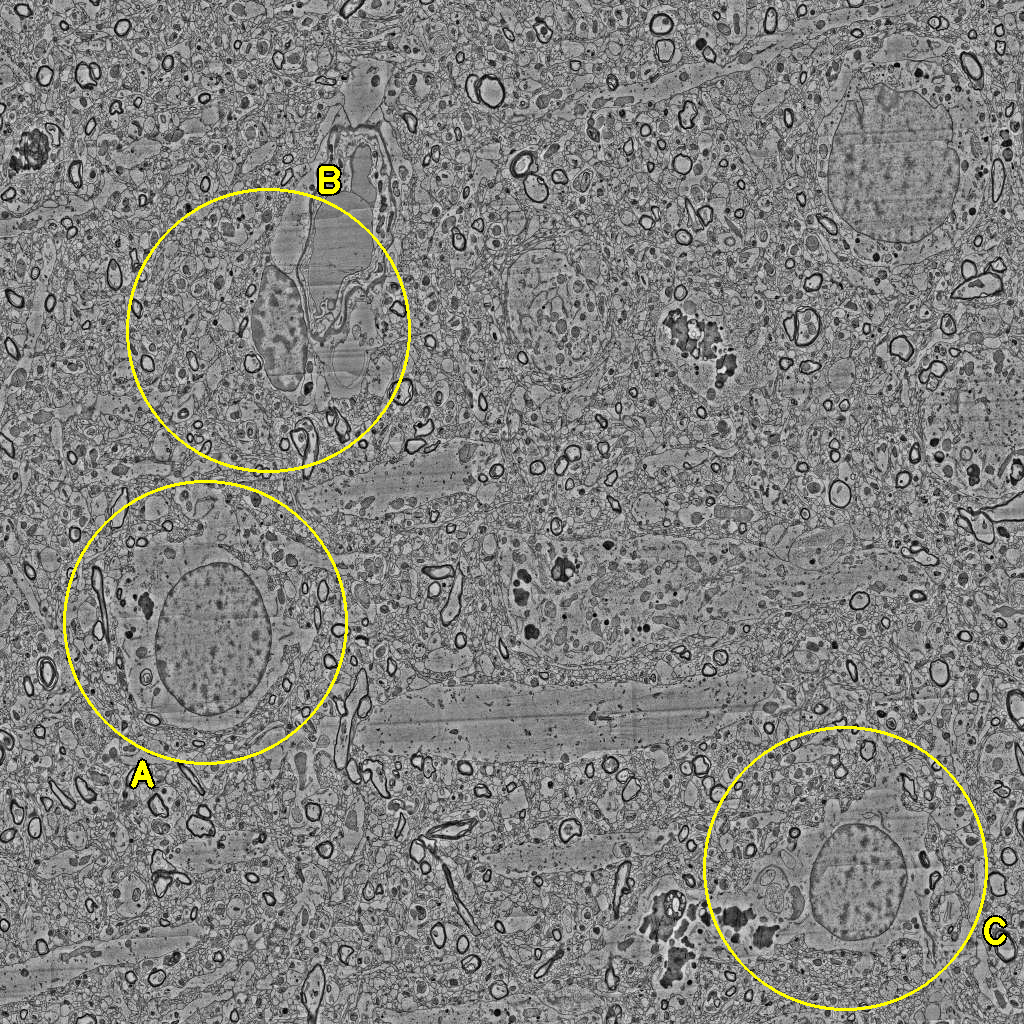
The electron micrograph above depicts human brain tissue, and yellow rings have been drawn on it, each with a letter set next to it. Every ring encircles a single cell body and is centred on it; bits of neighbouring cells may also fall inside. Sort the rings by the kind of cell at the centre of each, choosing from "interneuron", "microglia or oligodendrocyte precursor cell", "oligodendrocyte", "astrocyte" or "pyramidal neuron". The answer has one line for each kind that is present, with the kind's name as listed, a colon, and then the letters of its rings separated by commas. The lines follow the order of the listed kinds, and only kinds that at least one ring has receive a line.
microglia or oligodendrocyte precursor cell: B
astrocyte: A, C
